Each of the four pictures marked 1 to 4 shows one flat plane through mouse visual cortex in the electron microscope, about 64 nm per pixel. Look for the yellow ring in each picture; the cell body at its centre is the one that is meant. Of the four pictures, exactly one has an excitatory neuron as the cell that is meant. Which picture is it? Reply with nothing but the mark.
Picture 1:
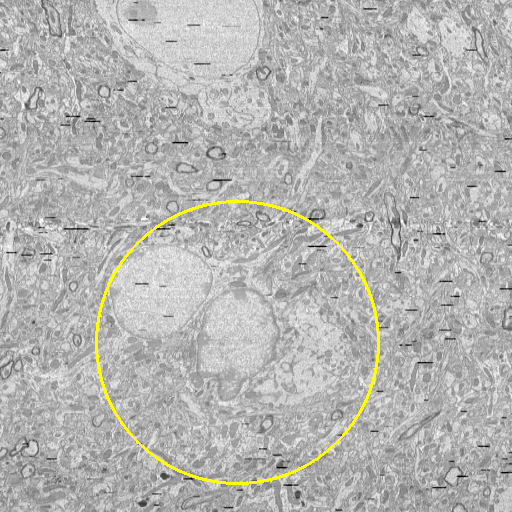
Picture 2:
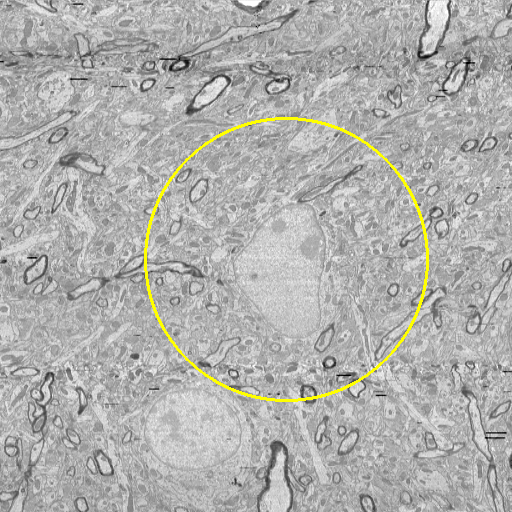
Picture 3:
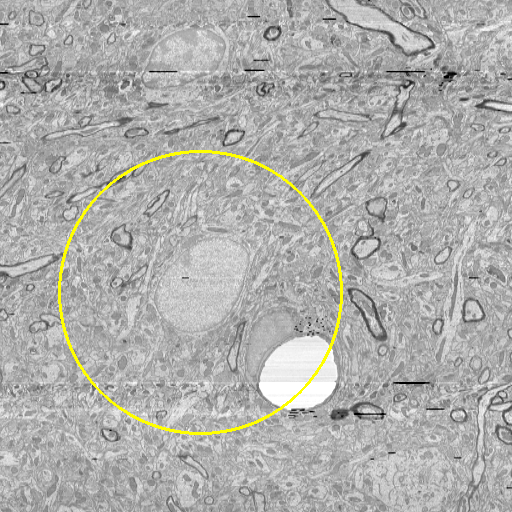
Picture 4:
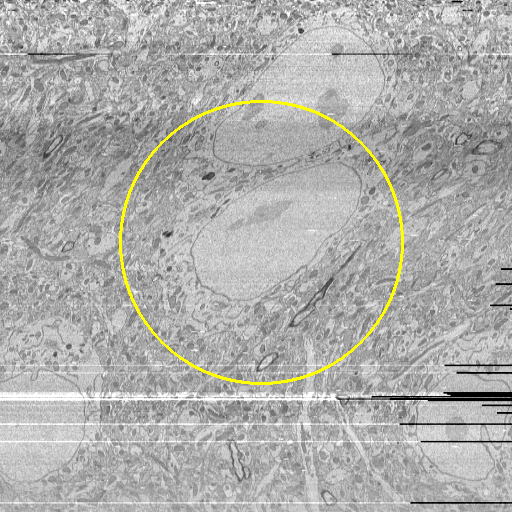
4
